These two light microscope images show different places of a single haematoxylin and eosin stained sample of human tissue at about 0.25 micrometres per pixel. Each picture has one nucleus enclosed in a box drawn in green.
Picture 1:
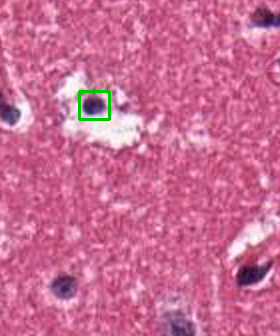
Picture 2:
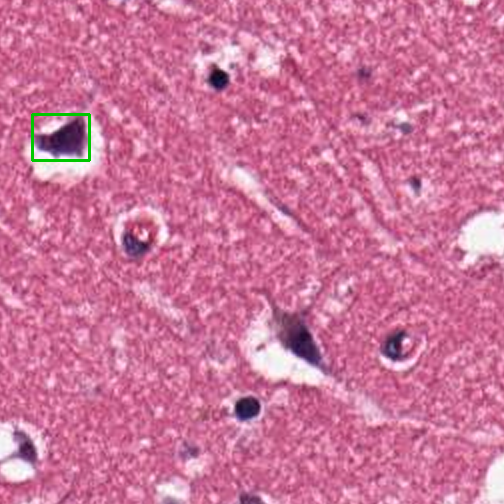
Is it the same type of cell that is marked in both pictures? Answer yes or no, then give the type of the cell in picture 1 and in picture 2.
No, the first is an oligodendrocyte and the second a neuron.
